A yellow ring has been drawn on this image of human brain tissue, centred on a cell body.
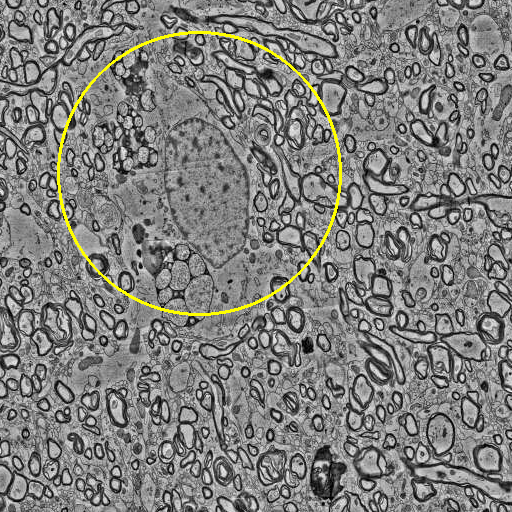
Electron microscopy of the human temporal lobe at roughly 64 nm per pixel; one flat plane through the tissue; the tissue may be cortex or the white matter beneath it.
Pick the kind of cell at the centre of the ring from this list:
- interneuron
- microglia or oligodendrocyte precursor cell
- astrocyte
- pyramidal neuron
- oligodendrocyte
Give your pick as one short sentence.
The centre of the ring holds an astrocyte.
